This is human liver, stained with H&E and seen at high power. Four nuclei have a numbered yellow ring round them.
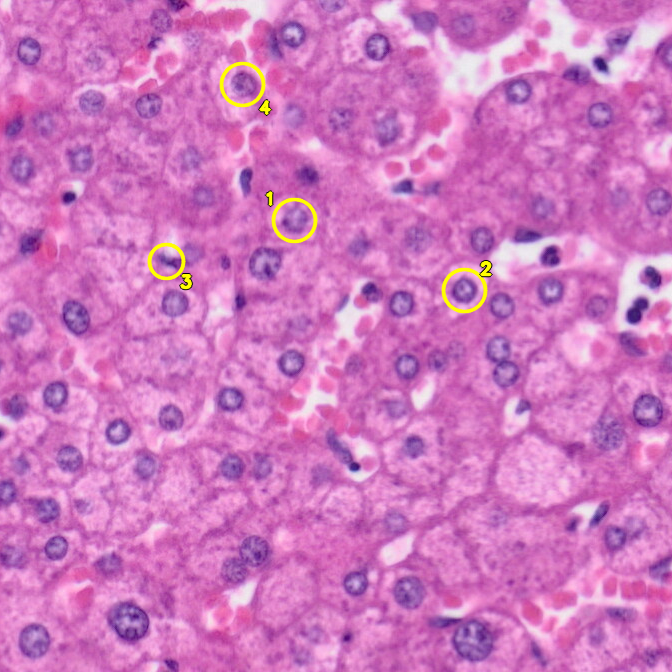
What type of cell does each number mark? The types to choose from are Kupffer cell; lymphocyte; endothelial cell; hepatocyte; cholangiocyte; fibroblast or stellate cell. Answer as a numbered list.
1. hepatocyte
2. hepatocyte
3. endothelial cell
4. hepatocyte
